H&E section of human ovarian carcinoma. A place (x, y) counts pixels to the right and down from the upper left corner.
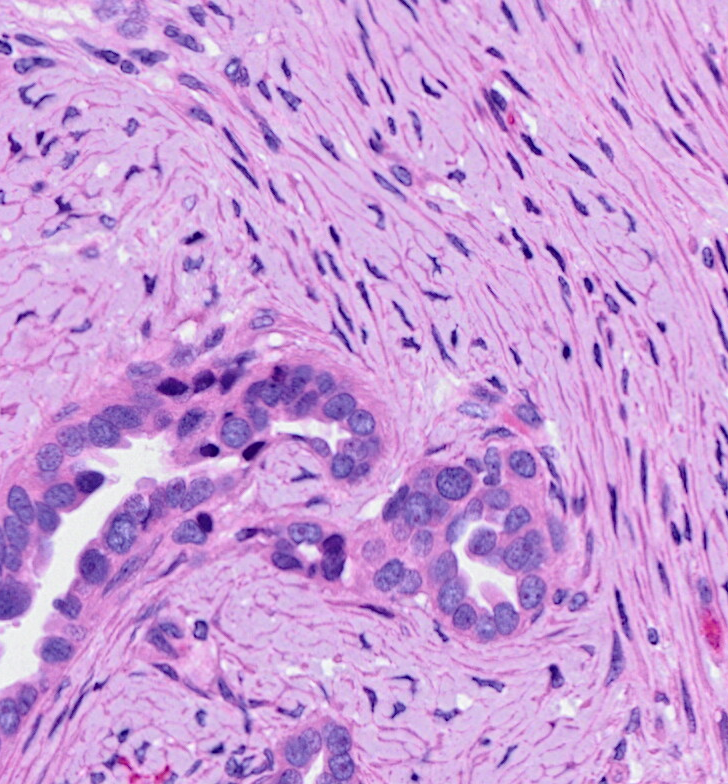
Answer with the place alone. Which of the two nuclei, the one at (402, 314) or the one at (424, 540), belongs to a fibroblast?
(402, 314)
